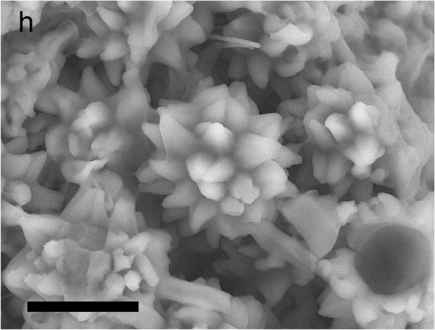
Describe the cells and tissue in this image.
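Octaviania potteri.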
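This scanning electron micrograph shows a crowded mass of fungal basidiospores seen in surface relief. Each spore is a rounded body almost hidden beneath large, coarse ornaments. The ornaments are pyramidal to conical spines, broad at the base and blunt or flattened at the tip. A rounder, smoother dark body appears at the lower right among the spiny spores.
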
